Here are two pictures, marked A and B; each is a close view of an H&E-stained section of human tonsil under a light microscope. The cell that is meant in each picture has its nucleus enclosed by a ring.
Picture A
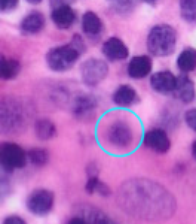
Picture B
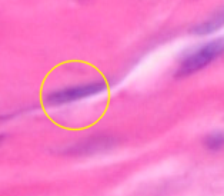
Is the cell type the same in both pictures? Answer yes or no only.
yes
